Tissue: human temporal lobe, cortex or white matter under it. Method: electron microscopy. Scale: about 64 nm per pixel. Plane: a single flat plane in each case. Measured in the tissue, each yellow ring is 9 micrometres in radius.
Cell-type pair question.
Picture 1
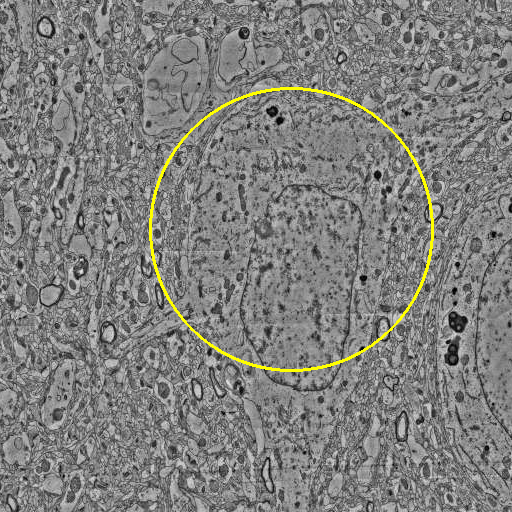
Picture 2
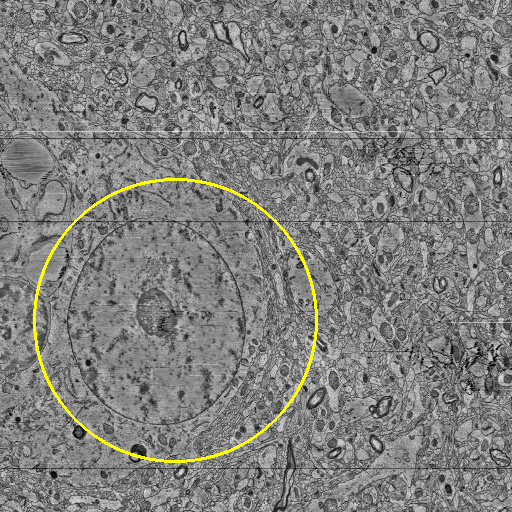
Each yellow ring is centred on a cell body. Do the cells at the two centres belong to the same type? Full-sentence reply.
Yes, the two cells belong to the same type.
